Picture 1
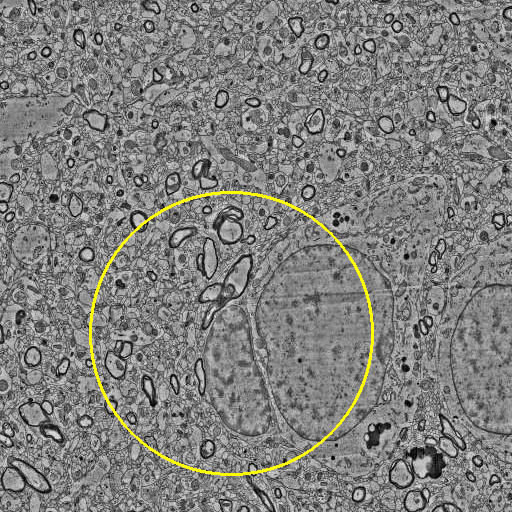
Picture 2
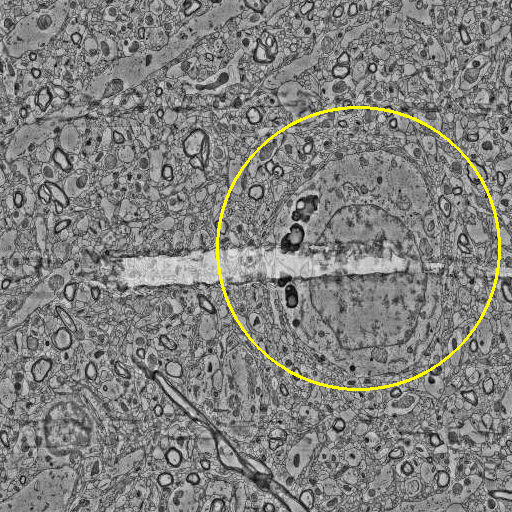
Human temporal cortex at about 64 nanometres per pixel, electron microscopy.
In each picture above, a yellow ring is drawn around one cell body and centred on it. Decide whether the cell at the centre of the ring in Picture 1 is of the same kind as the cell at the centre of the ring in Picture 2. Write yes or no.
no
